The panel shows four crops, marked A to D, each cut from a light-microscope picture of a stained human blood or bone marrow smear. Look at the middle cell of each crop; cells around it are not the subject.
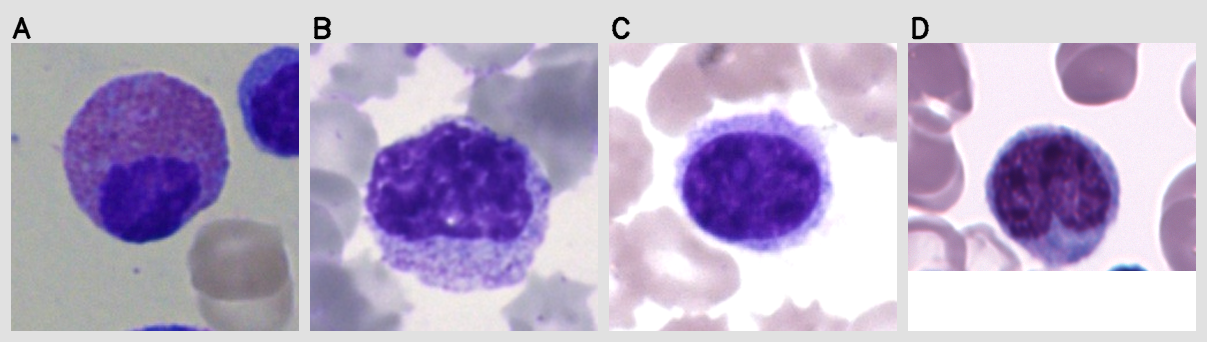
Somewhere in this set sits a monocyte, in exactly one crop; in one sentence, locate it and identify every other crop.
What crop D shows is a monocyte, while crop A is an eosinophil, crop B is a myelocyte and crop C is a hairy cell.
